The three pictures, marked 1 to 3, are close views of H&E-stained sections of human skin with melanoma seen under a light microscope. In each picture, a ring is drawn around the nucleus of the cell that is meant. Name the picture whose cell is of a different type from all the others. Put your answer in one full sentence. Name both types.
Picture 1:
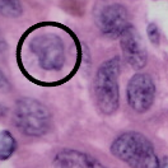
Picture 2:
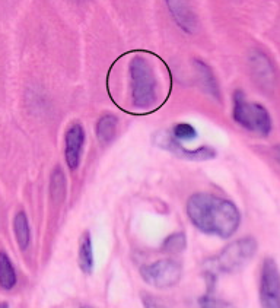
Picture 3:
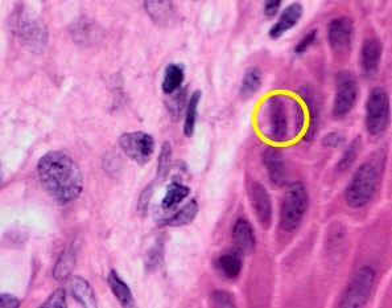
Picture 1 is the odd one out: it shows a “macrophage or monocyte”, while the others show keratinocytes.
